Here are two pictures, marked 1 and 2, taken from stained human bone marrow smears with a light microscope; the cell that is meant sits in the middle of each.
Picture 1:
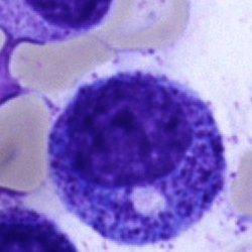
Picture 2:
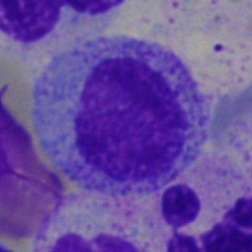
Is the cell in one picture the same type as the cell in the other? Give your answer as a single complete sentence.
Yes, they are the same type: both are promyelocytes.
